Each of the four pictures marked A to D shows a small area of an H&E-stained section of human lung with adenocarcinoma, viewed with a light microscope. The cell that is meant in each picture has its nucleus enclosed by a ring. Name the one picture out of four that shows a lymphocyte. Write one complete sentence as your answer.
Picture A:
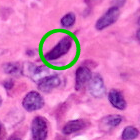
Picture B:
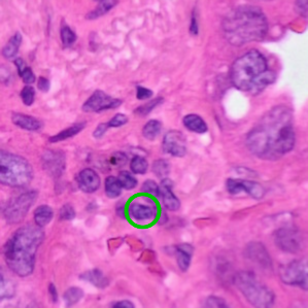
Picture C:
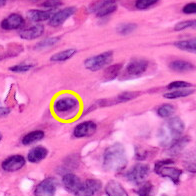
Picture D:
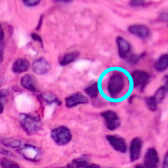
The lymphocyte is the one in picture B.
